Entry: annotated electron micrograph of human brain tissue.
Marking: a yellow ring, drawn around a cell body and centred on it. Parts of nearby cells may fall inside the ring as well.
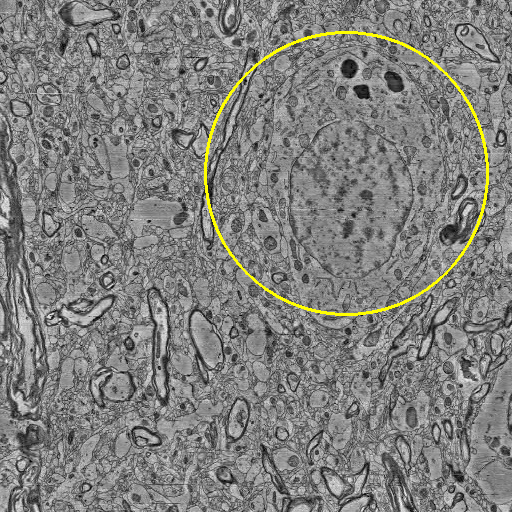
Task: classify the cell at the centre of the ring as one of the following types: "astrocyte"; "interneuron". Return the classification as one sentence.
The marked cell is classified as an interneuron.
